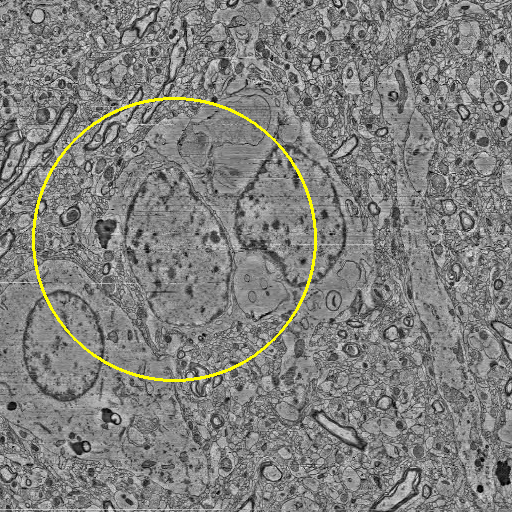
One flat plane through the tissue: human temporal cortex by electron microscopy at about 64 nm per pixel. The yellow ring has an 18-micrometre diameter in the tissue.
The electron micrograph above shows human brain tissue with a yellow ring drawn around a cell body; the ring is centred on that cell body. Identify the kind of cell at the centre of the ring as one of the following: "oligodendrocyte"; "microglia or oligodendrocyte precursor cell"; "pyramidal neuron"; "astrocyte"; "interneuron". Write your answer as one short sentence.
The cell at the centre of the ring is an astrocyte.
